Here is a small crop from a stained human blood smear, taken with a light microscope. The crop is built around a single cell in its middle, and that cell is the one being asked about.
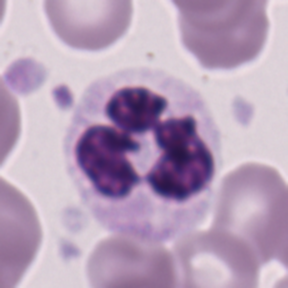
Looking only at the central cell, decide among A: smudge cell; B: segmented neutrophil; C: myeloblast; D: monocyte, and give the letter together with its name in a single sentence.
The cell centered in the crop is a segmented neutrophil, making option B the correct pick.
